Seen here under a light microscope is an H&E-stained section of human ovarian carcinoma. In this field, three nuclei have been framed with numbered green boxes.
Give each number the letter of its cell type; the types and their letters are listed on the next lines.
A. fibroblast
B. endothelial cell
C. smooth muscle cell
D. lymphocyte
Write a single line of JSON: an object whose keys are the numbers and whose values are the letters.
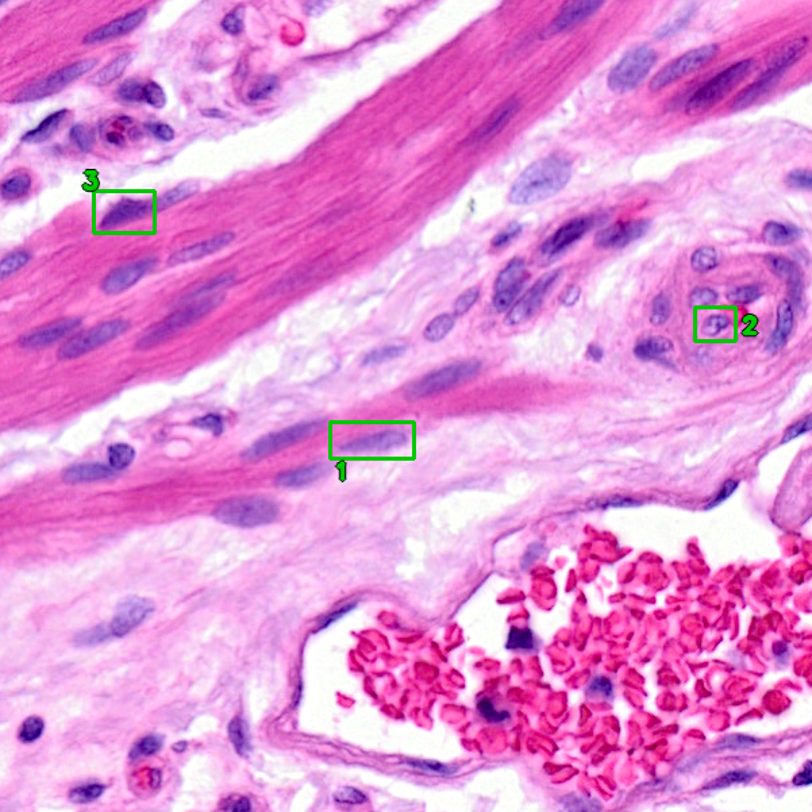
{"1": "C", "2": "B", "3": "C"}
